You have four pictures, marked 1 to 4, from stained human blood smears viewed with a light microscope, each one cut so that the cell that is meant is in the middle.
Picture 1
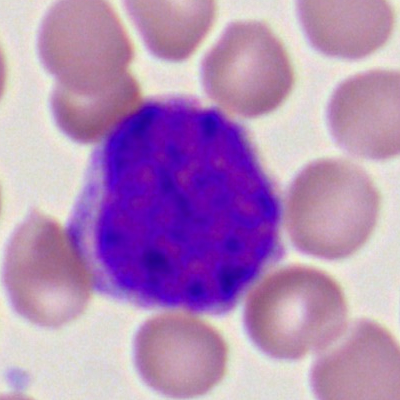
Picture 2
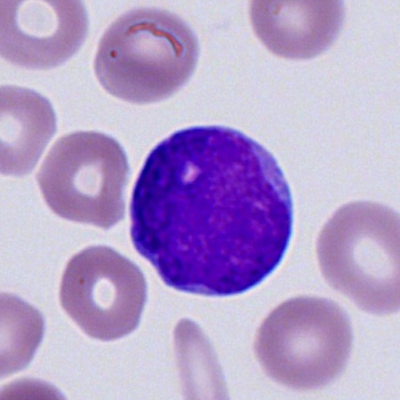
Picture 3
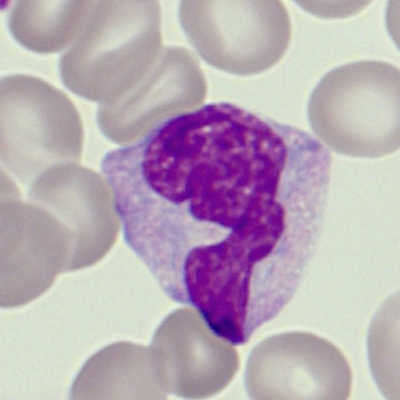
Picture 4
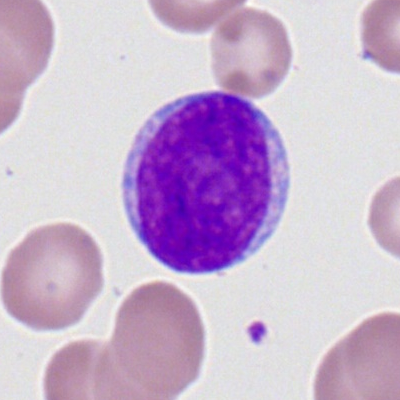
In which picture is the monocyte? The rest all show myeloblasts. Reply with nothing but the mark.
3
